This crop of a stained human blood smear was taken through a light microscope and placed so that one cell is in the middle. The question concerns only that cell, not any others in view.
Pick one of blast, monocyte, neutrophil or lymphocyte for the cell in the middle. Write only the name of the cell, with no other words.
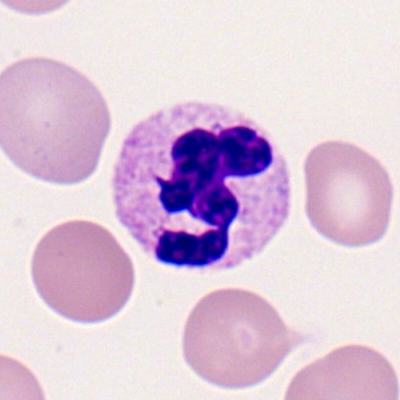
neutrophil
